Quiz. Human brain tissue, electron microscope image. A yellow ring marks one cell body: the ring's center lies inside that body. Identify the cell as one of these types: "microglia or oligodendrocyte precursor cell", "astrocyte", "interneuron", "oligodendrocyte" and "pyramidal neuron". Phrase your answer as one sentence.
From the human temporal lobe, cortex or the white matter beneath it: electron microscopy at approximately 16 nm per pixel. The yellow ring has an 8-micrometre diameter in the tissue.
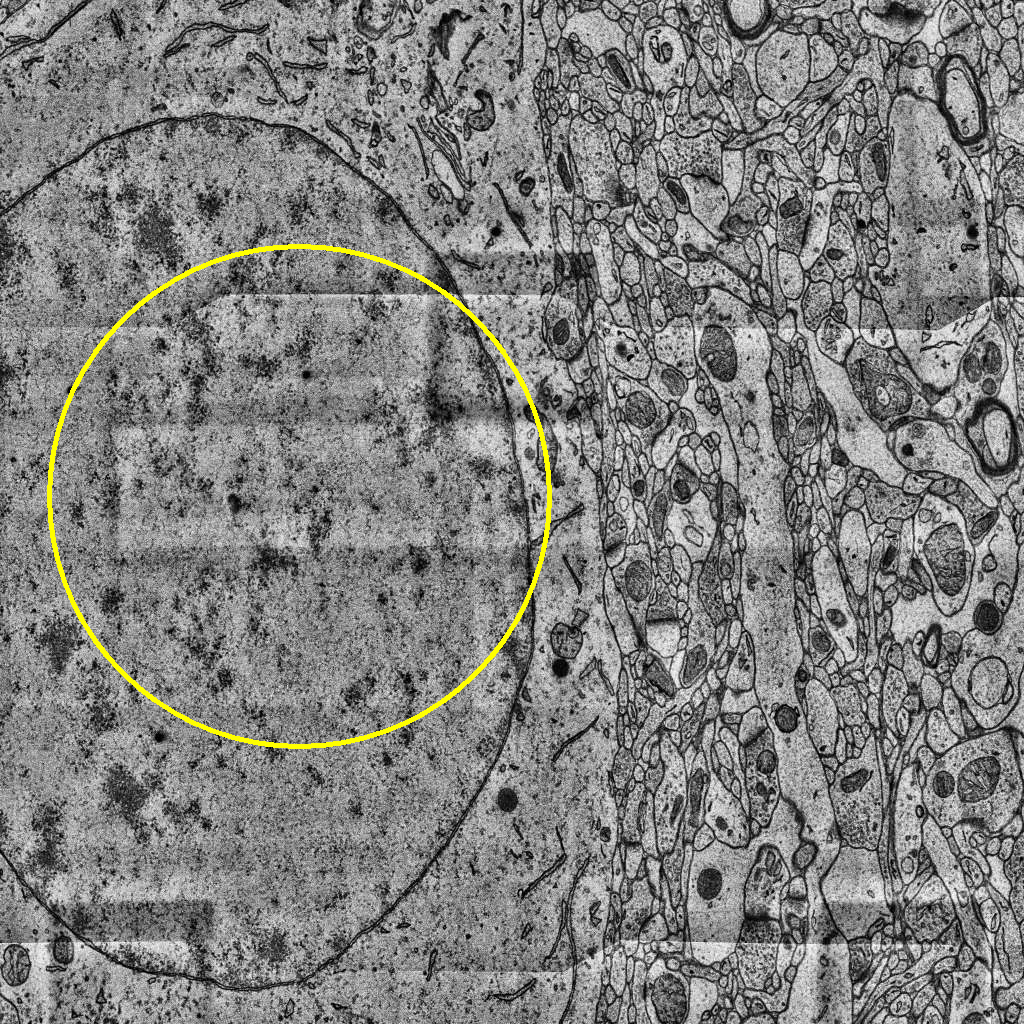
At the center of the ring sits a pyramidal neuron.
